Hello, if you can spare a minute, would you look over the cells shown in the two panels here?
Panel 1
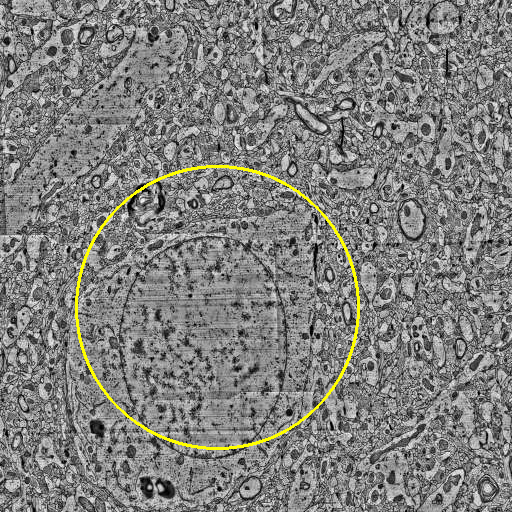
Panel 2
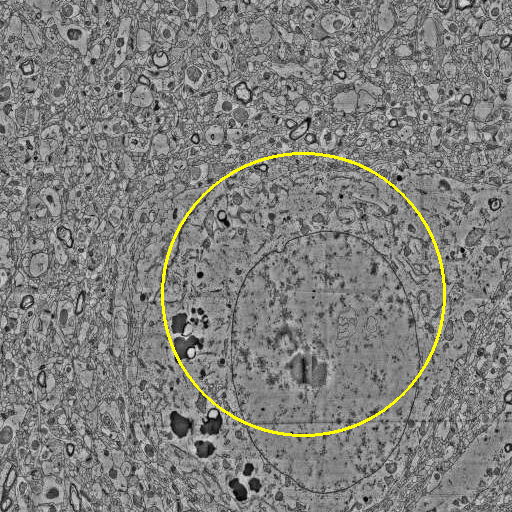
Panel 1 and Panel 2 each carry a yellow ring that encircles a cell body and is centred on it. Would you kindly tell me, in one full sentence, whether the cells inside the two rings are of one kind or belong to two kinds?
The cells at the centres of the rings in Panel 1 and Panel 2 are of one kind.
